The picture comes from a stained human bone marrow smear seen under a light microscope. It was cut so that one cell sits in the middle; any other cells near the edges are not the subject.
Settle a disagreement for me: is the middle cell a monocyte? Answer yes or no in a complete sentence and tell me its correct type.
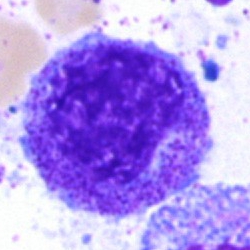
No, what sits in the centre of the crop is a myelocyte rather than a monocyte.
